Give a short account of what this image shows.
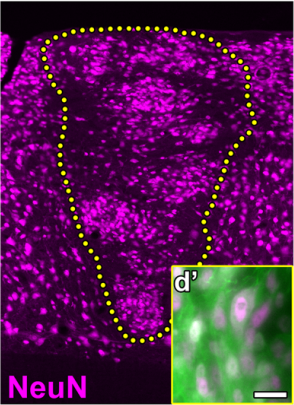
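The labelled bodies are small, round to oval and scattered densely through the field, both inside and outside the triangular dotted outline, with somewhat darker patches between clusters. Within the outlined region they are spread unevenly, in loose groups.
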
